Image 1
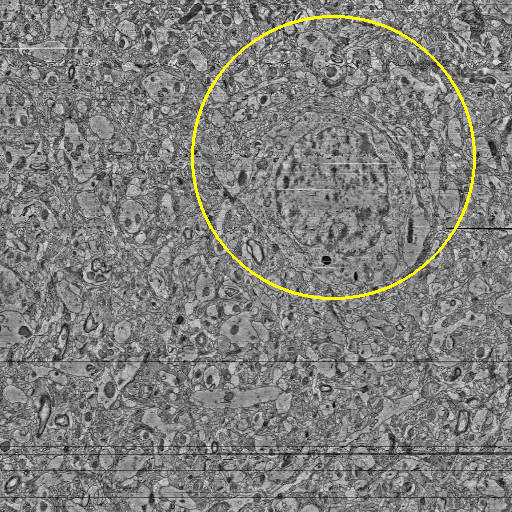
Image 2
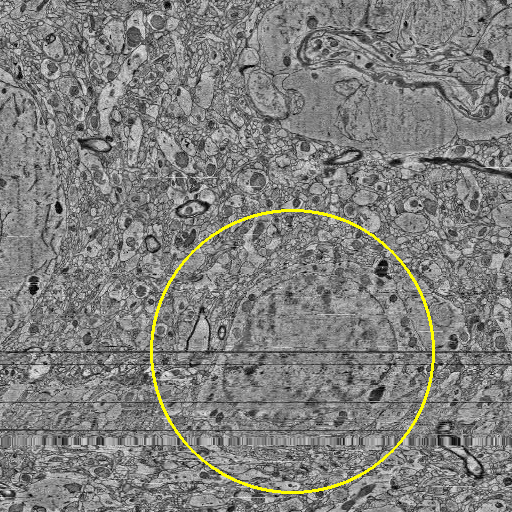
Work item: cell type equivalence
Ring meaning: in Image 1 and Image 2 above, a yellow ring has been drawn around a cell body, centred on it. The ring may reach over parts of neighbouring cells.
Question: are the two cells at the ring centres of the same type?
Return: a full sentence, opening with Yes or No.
Yes, the two centred cells are of the same type.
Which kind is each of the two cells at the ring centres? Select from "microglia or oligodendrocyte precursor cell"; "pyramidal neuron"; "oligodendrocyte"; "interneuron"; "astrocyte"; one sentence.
Each of the two rings surrounds an interneuron.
